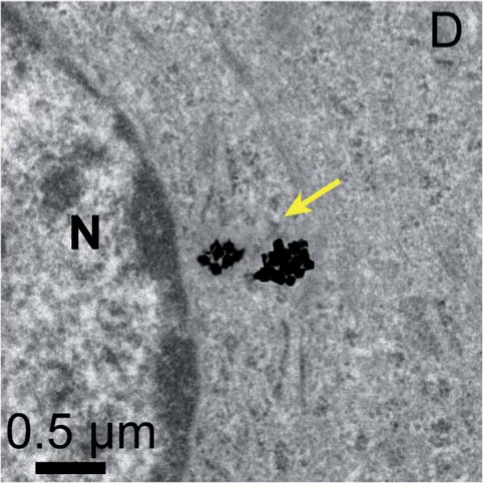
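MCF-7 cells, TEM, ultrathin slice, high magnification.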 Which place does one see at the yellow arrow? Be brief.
Outside the lysosomes and close to the nucleus.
